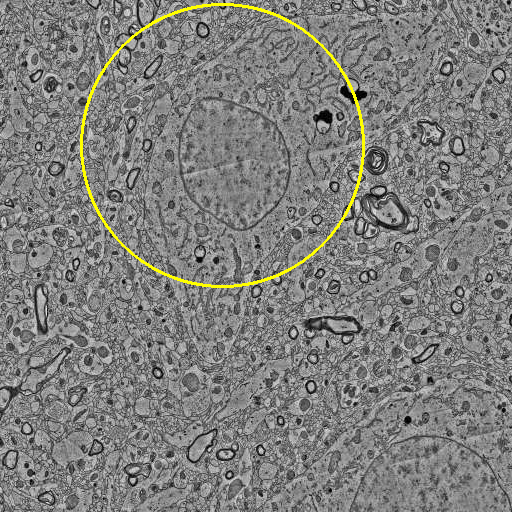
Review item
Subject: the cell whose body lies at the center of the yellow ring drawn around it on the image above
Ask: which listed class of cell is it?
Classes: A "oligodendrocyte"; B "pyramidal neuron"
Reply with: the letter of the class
B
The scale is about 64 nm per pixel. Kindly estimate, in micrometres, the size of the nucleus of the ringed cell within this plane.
The ringed cell's nucleus measures approximately 9 by 7 micrometres in this plane.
